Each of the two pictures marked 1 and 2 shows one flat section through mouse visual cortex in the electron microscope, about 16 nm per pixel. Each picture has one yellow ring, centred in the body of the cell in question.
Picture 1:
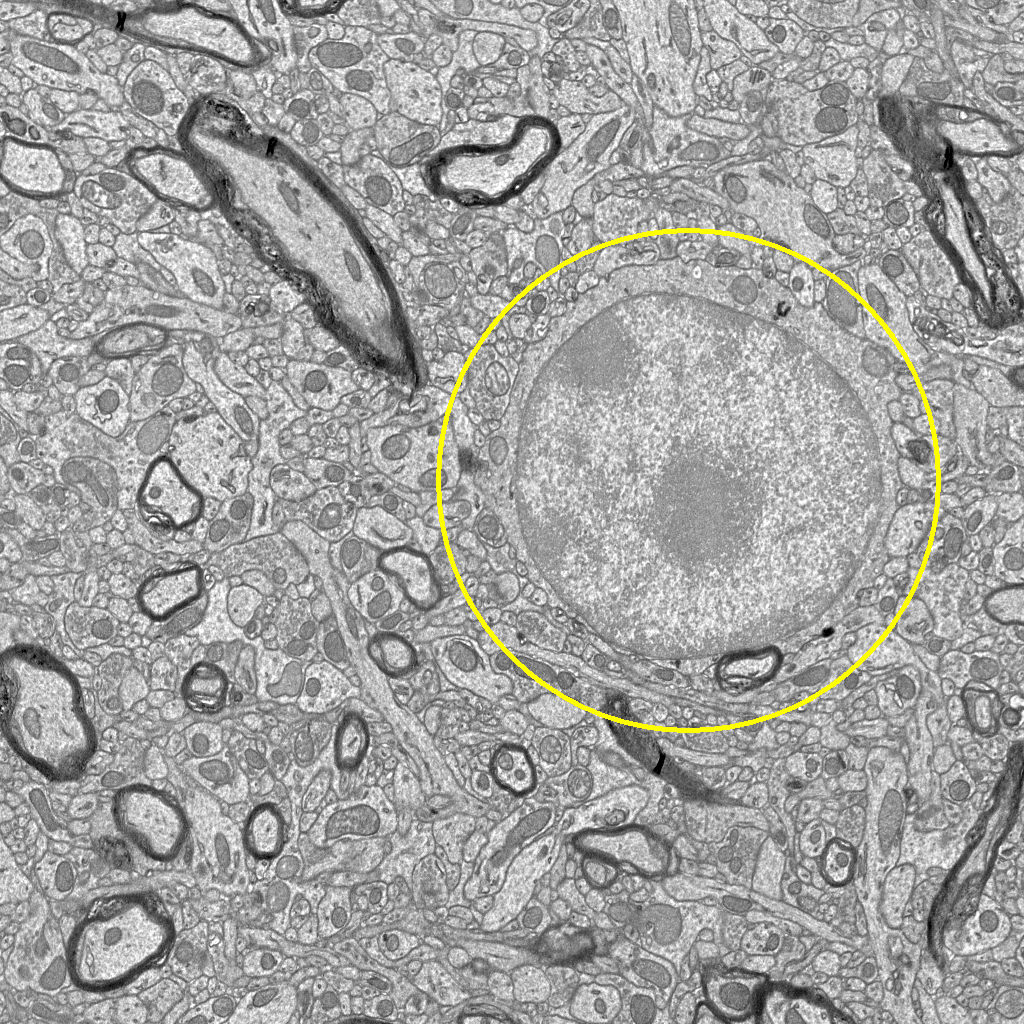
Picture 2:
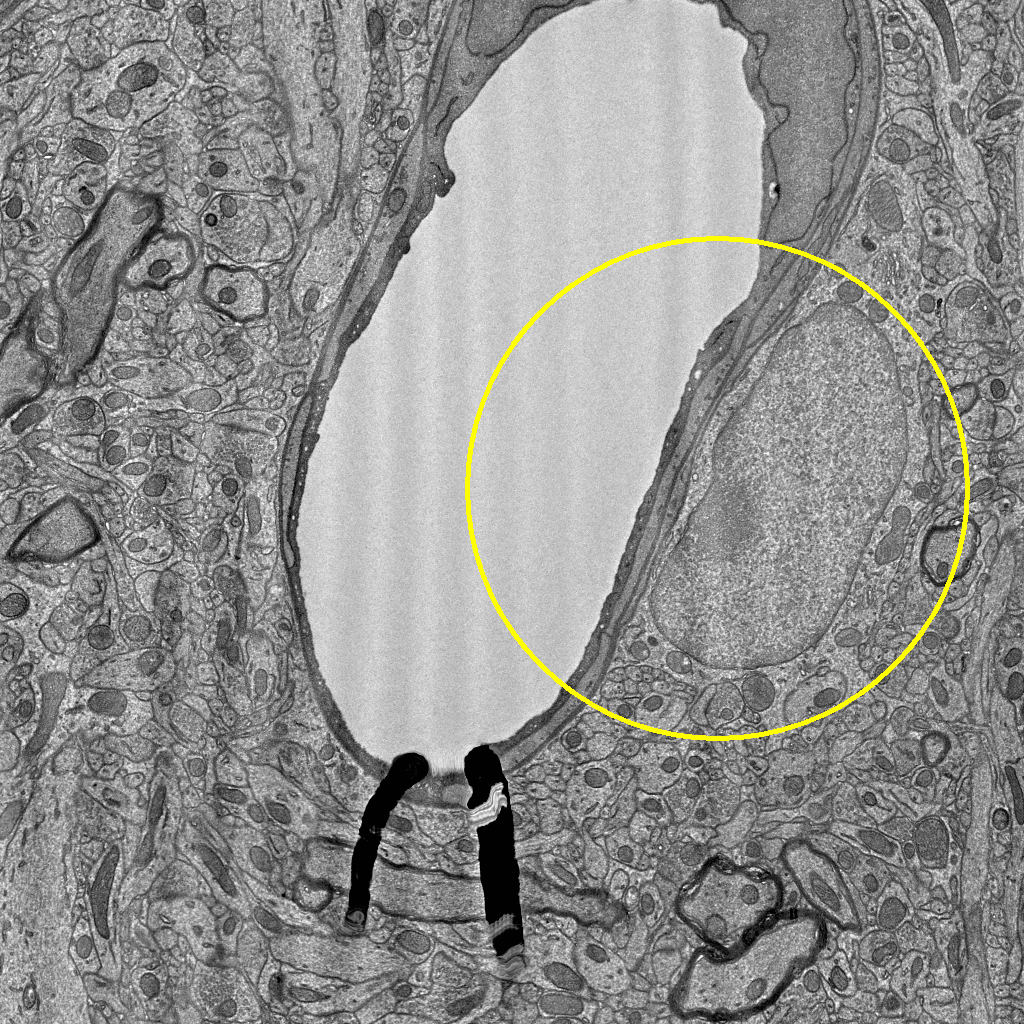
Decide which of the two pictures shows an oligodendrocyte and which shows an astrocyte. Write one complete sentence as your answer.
Picture 2 shows an astrocyte, while picture 1 shows an oligodendrocyte.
